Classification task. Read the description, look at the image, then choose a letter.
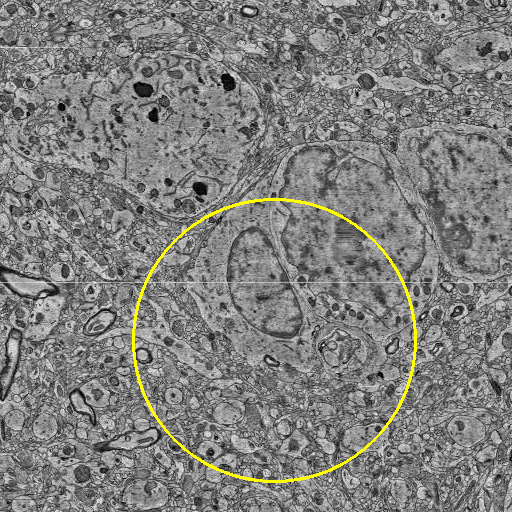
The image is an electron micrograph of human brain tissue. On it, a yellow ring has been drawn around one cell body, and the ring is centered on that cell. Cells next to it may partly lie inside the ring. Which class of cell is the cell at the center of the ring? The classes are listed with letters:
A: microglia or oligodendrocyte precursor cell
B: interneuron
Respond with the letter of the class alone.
A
